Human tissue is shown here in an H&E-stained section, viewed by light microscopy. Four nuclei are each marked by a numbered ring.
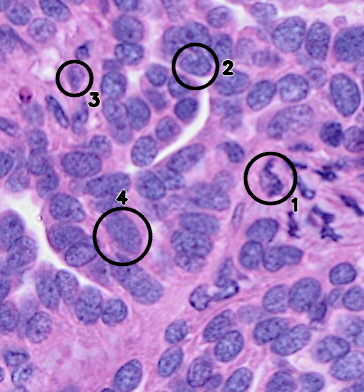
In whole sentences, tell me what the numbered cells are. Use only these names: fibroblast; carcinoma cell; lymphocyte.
Cells 1 and 3 are fibroblasts. Cells 2 and 4 are carcinoma cells.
